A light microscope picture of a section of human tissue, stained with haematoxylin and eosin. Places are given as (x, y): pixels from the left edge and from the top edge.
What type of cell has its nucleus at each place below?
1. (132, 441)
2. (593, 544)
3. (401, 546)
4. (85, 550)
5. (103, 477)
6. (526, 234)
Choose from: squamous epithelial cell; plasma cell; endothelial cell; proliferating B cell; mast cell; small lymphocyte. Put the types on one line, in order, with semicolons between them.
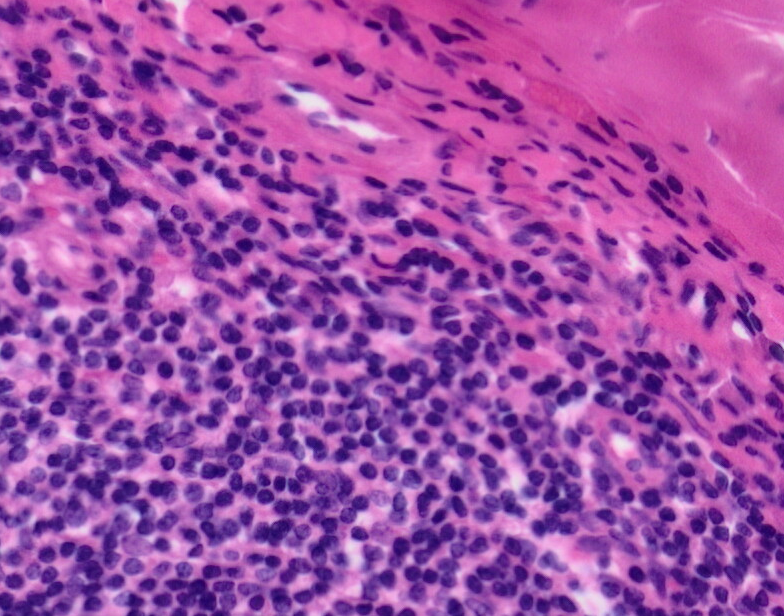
small lymphocyte; endothelial cell; small lymphocyte; small lymphocyte; small lymphocyte; endothelial cell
